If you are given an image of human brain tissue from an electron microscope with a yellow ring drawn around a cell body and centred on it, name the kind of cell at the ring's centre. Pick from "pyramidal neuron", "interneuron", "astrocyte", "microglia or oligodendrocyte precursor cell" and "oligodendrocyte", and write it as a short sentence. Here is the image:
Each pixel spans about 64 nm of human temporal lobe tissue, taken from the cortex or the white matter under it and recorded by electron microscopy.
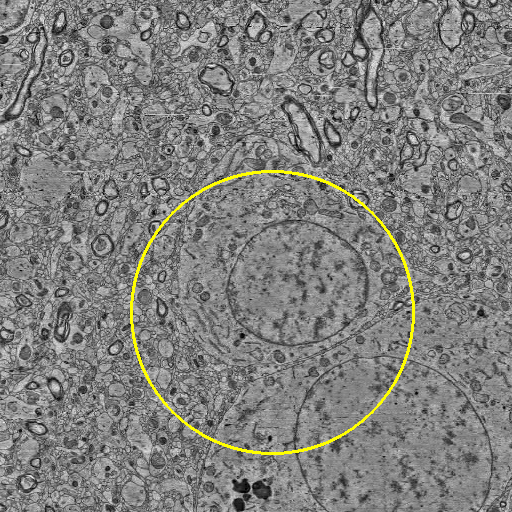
The cell at the ring's centre is an interneuron.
